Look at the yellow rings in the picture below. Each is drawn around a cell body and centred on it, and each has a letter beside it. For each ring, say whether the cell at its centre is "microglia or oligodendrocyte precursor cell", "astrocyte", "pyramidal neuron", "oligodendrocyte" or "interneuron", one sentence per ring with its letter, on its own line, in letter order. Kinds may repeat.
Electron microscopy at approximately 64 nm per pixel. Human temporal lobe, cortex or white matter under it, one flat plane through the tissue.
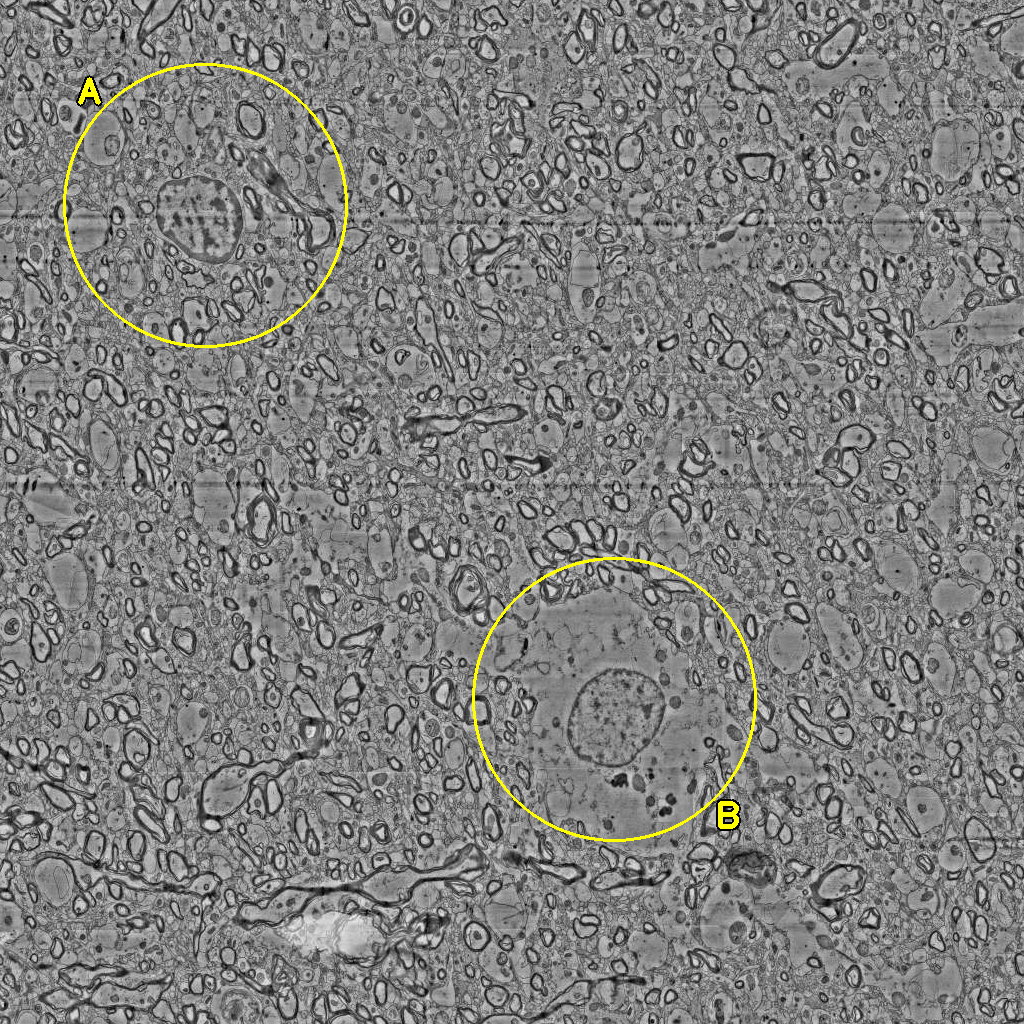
The centred cell of ring A is a microglial cell or oligodendrocyte precursor cell.
The centred cell of ring B is an astrocyte.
